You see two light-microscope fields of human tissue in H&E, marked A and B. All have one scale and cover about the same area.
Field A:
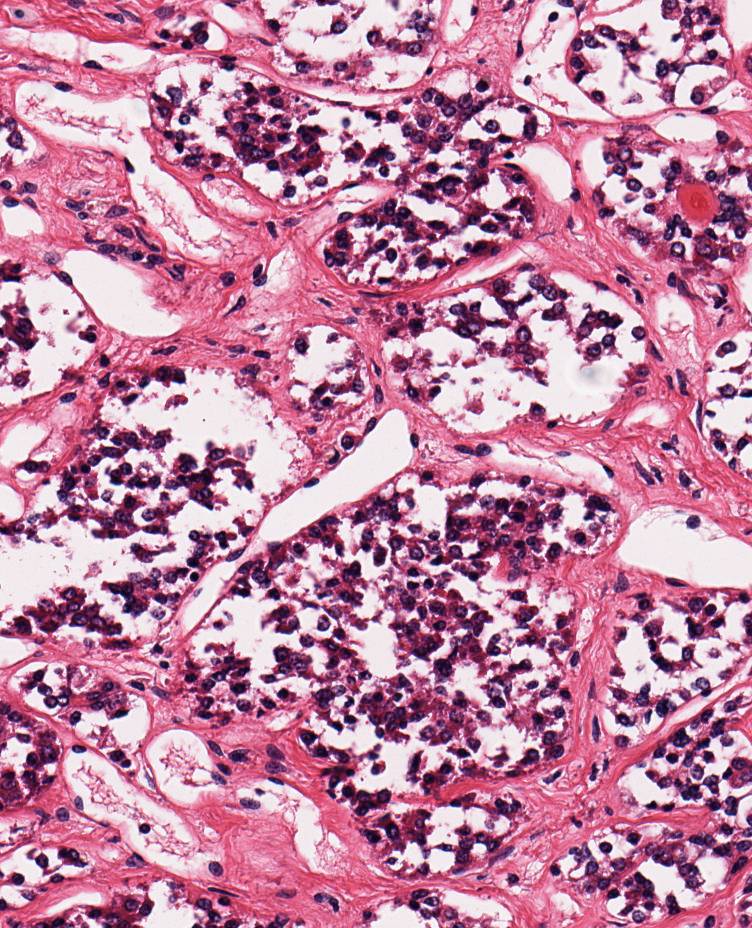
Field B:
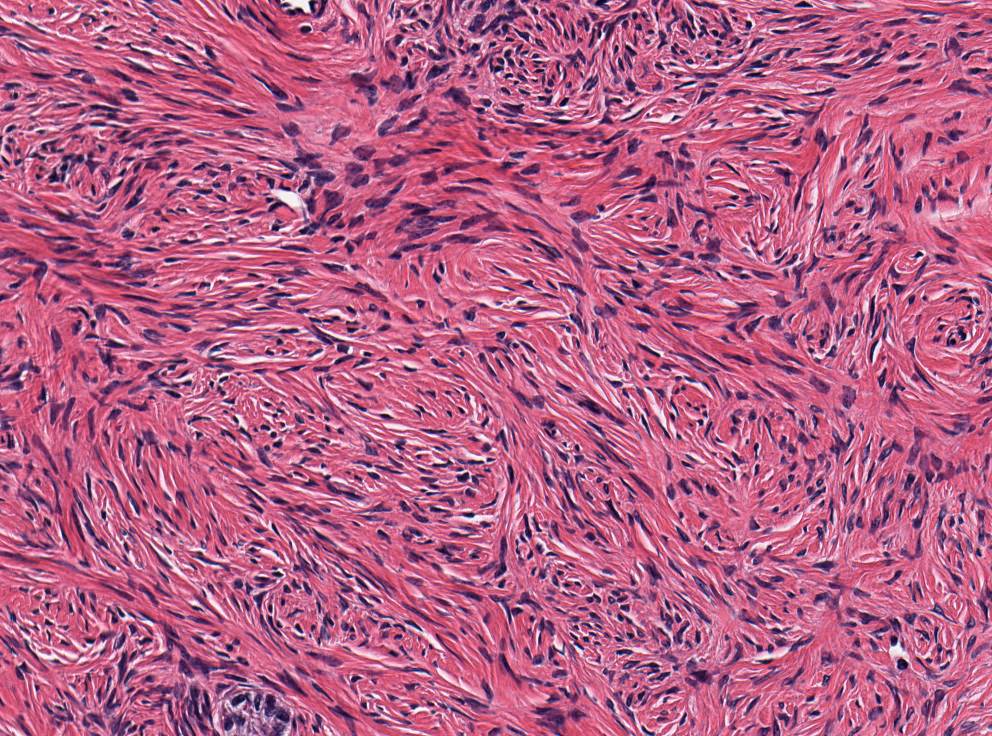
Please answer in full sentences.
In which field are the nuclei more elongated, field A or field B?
It is field B whose nuclei are the more elongated.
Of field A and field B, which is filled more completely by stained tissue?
It is field B that stained tissue fills more completely.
